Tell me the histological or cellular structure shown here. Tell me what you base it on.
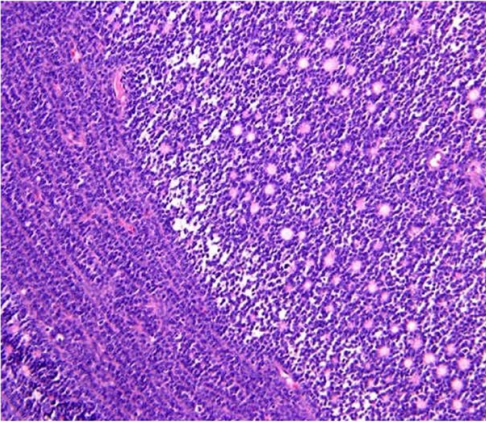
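Many small round pale-pink spaces are scattered through a sheet of densely packed cells.
Hence: Call-Exner bodies.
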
